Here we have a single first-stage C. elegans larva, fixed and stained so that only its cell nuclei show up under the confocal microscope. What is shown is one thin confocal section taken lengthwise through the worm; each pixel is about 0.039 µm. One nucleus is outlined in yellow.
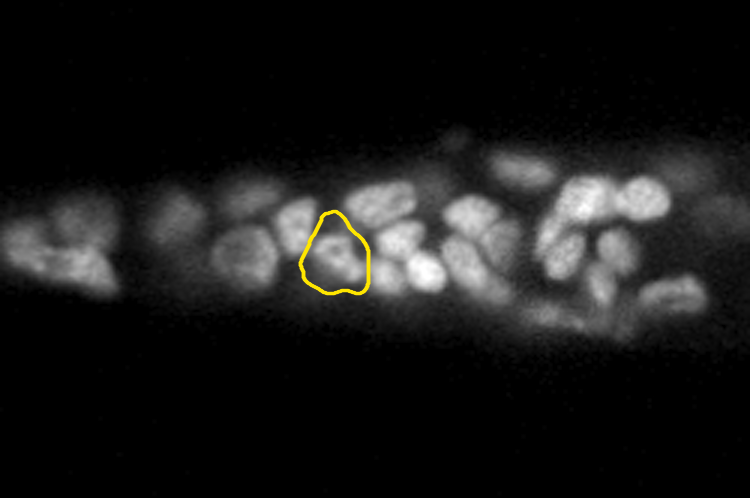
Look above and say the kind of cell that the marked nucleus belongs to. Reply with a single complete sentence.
This nucleus is from a glial cell (sheath or socket).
